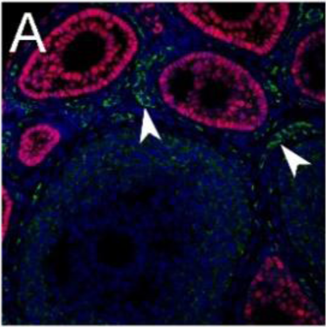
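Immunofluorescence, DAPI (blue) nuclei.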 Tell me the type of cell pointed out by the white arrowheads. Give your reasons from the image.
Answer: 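Arrowheads point to green-stained cells lying outside the round follicles. The marked cells sit in the spaces between follicles.
Hence: theca-interstitial cells.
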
